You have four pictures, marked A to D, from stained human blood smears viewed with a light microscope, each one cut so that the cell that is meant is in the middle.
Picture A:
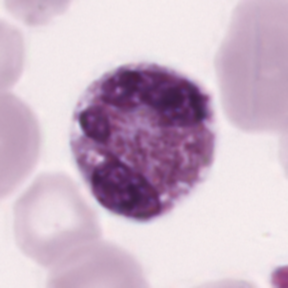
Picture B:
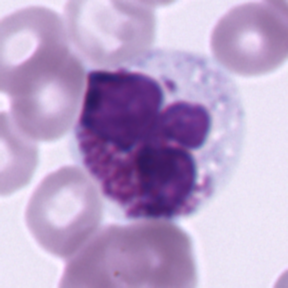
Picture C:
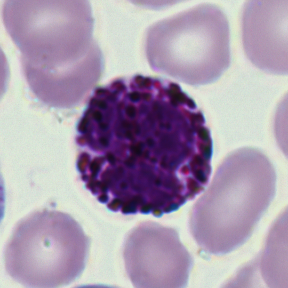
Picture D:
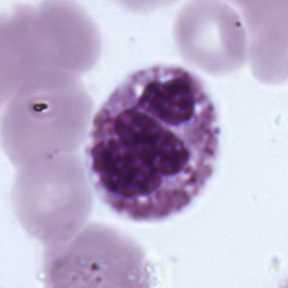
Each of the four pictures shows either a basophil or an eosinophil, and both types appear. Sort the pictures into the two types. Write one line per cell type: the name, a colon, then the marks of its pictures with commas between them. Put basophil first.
basophil: C
eosinophil: A, B, D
